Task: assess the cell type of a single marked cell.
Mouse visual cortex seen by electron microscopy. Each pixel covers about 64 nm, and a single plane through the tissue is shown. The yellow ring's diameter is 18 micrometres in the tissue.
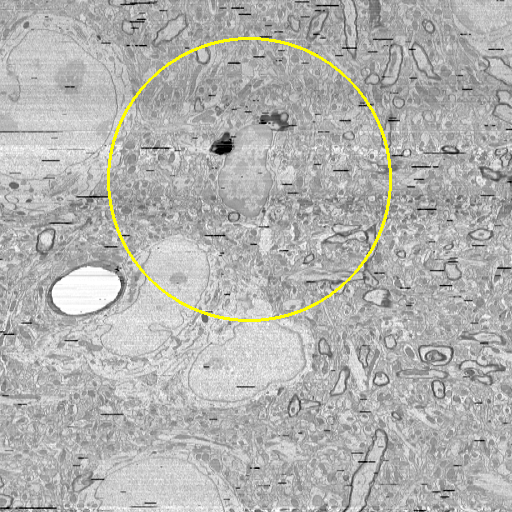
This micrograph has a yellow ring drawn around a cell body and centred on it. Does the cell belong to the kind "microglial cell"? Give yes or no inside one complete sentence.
Yes, the marked cell at the centre of the ring belongs to that kind.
